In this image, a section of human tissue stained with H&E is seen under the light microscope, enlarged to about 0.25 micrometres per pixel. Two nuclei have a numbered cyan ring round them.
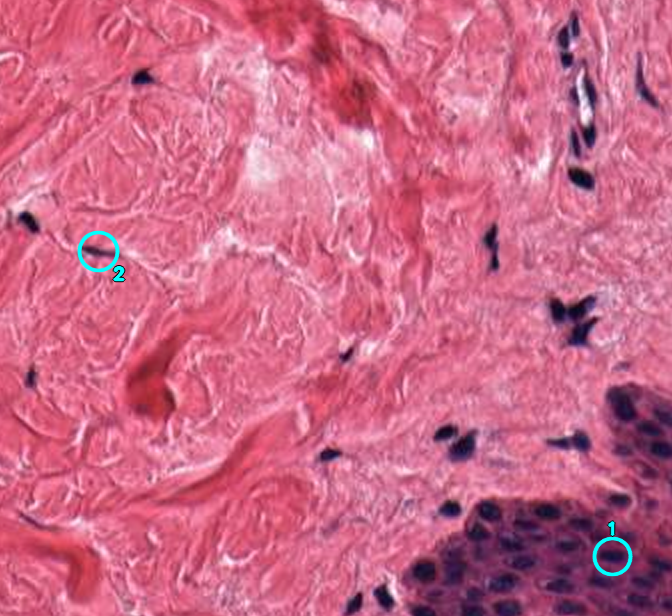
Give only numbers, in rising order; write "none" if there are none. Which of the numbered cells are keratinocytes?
1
